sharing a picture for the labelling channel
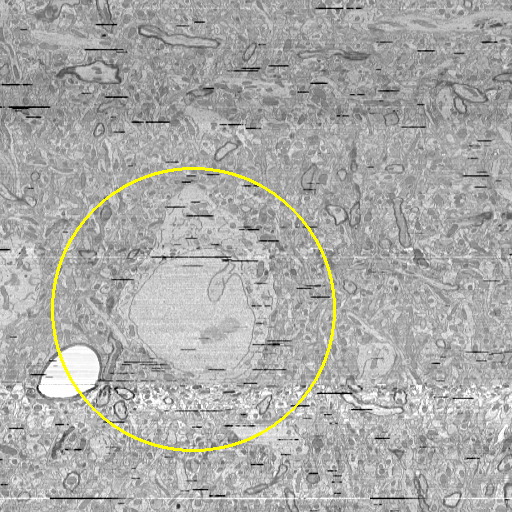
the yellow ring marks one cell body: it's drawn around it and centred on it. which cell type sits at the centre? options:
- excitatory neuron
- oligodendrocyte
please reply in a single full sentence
In the picture, the cell at the ring's centre is an excitatory neuron, going by the list.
